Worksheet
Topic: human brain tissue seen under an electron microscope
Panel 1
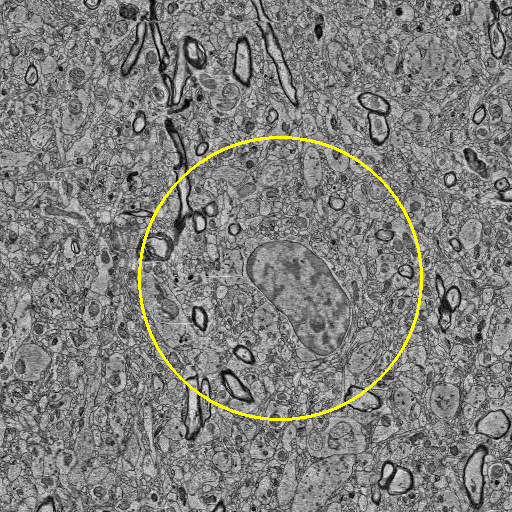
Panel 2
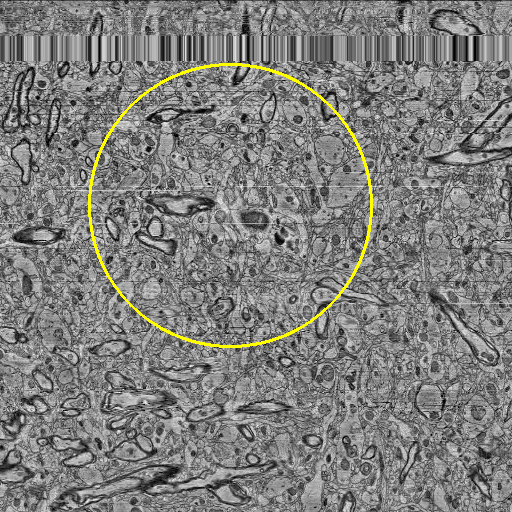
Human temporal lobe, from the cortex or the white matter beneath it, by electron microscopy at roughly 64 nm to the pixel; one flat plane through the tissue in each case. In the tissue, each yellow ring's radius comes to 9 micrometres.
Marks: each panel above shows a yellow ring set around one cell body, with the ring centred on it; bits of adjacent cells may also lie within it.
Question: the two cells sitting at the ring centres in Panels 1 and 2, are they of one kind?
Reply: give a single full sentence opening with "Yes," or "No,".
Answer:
Yes, the two ring-centre cells in Panel 1 and Panel 2 are of one kind.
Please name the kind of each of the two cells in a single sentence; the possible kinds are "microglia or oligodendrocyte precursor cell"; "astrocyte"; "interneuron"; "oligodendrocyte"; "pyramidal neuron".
Both rings mark a microglial cell or oligodendrocyte precursor cell, one in each picture.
